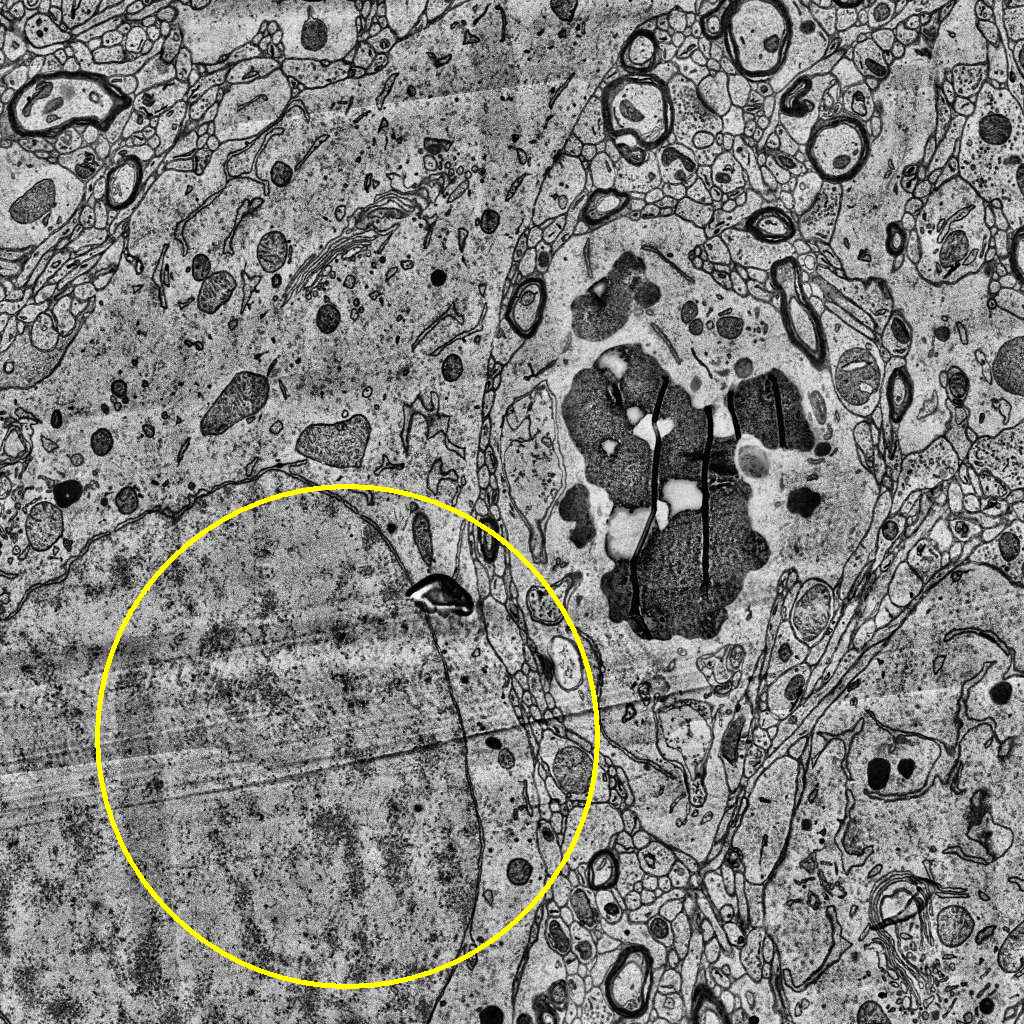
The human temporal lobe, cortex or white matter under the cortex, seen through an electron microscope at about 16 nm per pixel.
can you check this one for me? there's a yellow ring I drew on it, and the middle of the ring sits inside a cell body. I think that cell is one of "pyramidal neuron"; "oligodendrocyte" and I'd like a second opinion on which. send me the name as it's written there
pyramidal neuron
